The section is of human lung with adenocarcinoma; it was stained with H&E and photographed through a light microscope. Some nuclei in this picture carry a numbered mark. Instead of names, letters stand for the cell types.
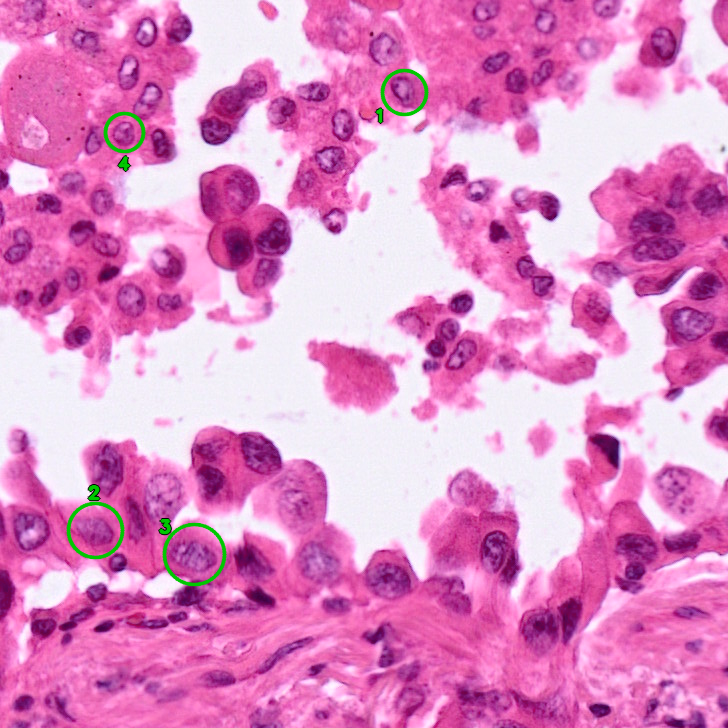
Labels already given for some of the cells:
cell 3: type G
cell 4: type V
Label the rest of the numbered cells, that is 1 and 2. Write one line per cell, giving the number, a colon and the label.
1: type V
2: type G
